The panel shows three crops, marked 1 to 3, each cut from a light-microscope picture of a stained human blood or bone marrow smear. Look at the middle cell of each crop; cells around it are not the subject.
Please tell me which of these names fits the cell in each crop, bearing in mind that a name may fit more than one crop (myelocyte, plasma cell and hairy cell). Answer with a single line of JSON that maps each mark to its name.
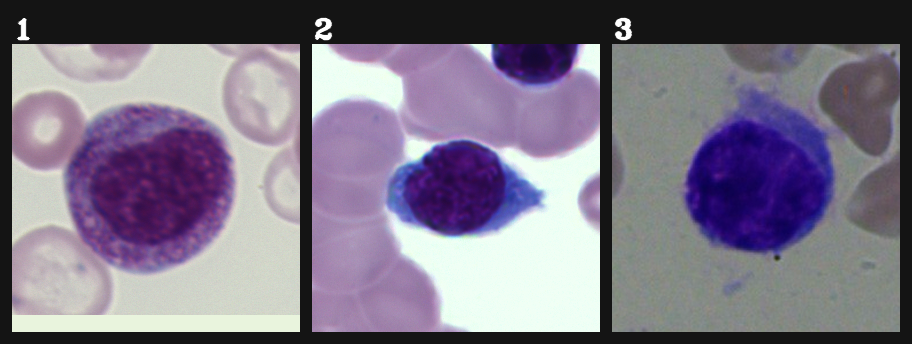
{"1": "myelocyte", "2": "plasma cell", "3": "hairy cell"}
